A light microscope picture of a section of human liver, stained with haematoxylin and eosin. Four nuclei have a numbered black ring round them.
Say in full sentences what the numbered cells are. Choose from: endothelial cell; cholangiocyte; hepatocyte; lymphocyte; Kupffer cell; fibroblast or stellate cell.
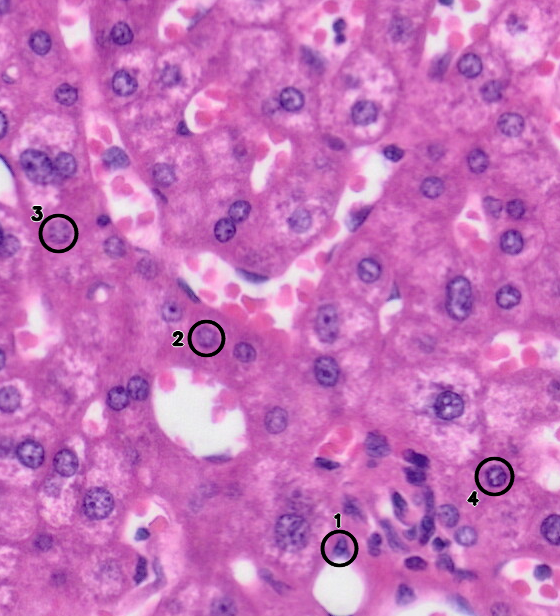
Cell 1 is a fibroblast or stellate cell. Cells 2, 3 and 4 are hepatocytes.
